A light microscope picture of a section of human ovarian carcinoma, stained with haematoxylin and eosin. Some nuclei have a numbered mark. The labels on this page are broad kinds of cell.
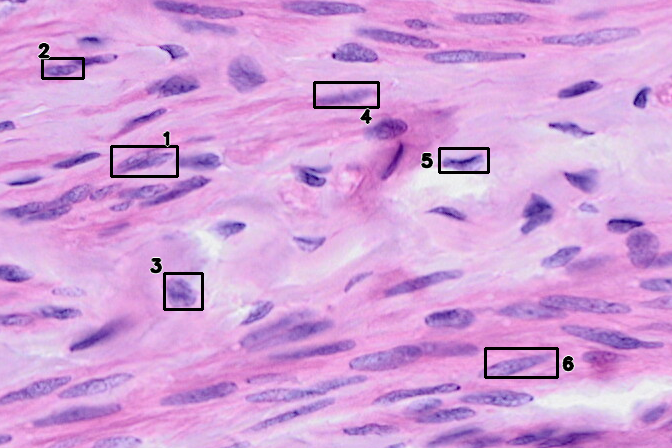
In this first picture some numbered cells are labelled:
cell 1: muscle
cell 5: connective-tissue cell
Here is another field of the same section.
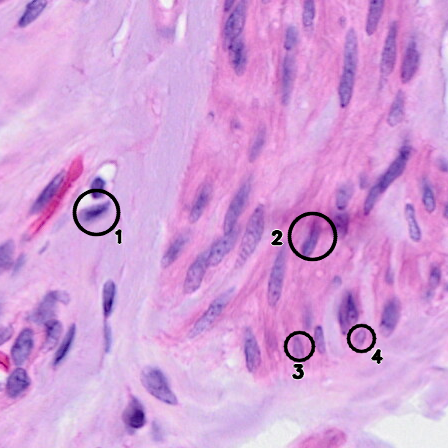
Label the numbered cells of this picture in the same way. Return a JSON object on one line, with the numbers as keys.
{"1": "connective-tissue cell", "2": "muscle", "3": "muscle", "4": "muscle"}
